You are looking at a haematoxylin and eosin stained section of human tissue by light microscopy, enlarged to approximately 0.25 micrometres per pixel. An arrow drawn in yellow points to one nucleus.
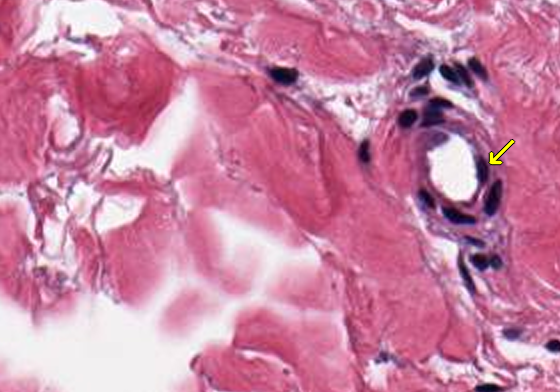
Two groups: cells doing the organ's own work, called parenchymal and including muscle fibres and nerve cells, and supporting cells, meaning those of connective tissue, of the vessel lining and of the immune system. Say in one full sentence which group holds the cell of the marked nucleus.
The cell that the marked nucleus belongs to is a supporting cell.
